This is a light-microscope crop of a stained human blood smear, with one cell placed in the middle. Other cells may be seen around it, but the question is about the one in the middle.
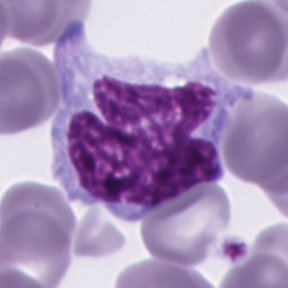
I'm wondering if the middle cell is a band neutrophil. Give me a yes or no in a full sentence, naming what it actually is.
No, the central cell is a monocyte, not a band neutrophil.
